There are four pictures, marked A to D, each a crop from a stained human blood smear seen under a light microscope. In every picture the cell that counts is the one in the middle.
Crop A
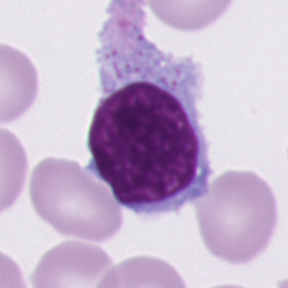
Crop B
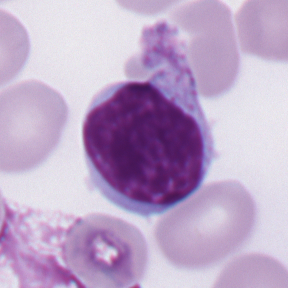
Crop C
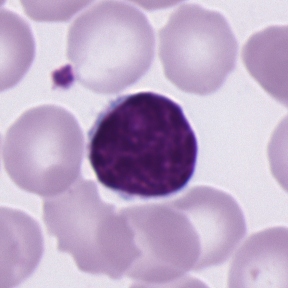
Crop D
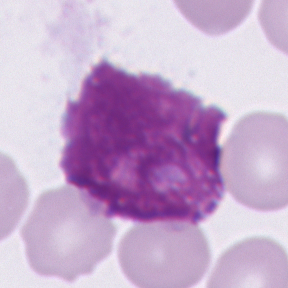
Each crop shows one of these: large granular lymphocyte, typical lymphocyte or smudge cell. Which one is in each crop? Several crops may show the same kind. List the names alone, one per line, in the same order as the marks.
large granular lymphocyte
large granular lymphocyte
typical lymphocyte
smudge cell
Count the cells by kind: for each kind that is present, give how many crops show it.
large granular lymphocyte: 2
typical lymphocyte: 1
smudge cell: 1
